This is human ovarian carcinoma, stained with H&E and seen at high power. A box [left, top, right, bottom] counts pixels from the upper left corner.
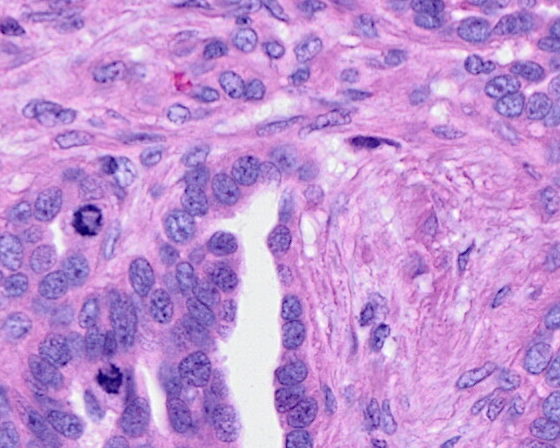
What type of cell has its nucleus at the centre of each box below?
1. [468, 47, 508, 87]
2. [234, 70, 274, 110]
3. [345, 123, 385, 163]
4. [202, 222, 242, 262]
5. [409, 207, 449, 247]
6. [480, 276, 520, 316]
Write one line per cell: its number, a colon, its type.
1: macrophage or monocyte
2: endothelial cell
3: macrophage or monocyte
4: carcinoma cell
5: fibroblast
6: fibroblast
